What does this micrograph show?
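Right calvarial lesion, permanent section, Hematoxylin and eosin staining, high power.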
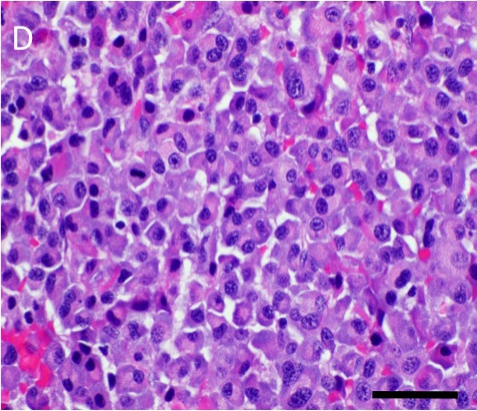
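This is a dense sheet of atypical plasma cells packed closely together with little intervening stroma. The cells are round to polygonal with abundant pink to purple cytoplasm, and their round nuclei often lie toward one side of the cell. The nuclei vary in size, with coarse chromatin and some visible nucleoli. A few red blood cells lie scattered between the tumor cells, especially toward the lower left.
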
